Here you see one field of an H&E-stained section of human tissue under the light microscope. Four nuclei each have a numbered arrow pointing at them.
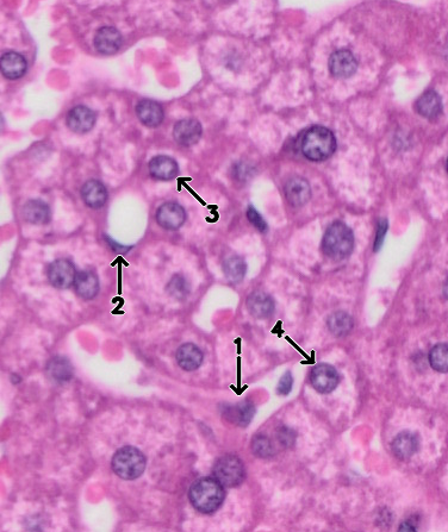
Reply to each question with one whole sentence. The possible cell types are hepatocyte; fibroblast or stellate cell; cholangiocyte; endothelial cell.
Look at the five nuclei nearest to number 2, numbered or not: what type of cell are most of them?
Hepatocytes make up most of the five nuclei closest to number 2.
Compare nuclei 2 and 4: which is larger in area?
Nucleus 4 is the larger one, covering about 2 times the area of nucleus 2.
